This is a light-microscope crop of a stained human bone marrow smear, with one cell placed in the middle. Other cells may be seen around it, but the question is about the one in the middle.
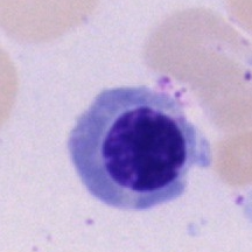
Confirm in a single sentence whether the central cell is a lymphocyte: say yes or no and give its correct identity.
No, that would be an erythroblast, not a lymphocyte, for the cell at the centre.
